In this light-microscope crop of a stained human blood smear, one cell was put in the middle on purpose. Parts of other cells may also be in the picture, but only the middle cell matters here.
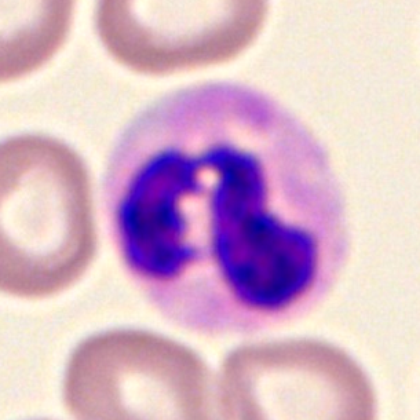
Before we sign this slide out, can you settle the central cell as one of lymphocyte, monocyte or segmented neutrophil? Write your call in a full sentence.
The crop centres on a single cell, and that cell is a segmented neutrophil.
